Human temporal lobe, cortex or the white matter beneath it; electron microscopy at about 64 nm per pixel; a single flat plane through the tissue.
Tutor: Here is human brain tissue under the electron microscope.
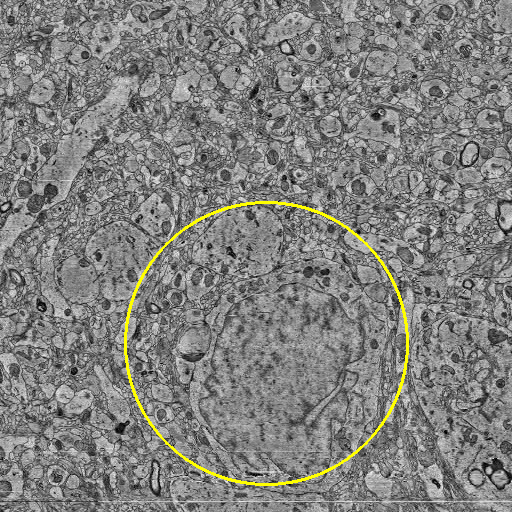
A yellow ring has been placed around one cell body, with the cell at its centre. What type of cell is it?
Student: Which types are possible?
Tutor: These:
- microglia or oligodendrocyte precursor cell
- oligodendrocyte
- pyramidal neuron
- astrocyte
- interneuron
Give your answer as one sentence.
What the ring picks out here is an interneuron.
